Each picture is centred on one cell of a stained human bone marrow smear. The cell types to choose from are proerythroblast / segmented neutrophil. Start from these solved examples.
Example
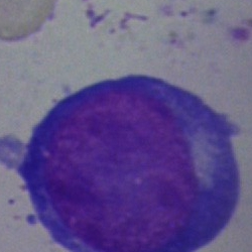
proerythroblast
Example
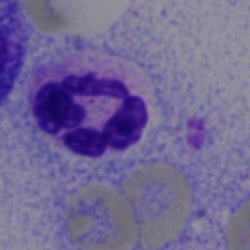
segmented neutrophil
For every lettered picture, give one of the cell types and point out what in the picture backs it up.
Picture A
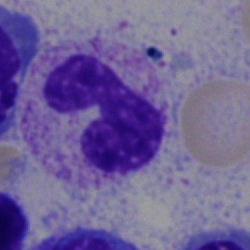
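segmented neutrophil: The cytoplasm is abundant and pale.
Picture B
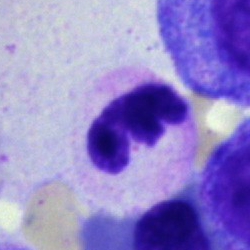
segmented neutrophil: The cytoplasm is plentiful and pale pinkish-lilac.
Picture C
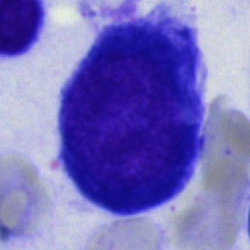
proerythroblast: The cytoplasm is a scant, deep blue rim.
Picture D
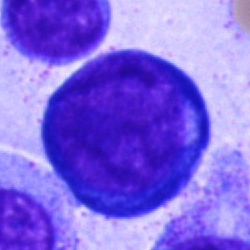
proerythroblast: The cytoplasm forms only a thin rim around the nucleus.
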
